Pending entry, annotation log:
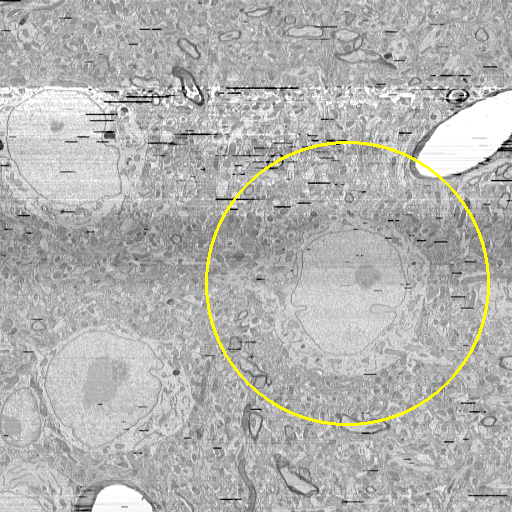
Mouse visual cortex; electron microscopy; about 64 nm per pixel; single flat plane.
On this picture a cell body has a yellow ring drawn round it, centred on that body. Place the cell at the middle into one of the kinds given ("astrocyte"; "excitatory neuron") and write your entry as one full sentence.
The cell body at the middle of the yellow ring belongs to an excitatory neuron.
